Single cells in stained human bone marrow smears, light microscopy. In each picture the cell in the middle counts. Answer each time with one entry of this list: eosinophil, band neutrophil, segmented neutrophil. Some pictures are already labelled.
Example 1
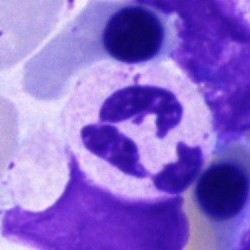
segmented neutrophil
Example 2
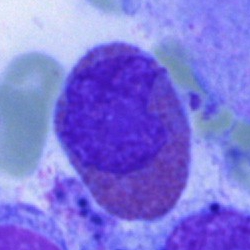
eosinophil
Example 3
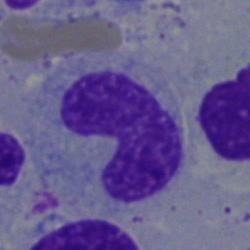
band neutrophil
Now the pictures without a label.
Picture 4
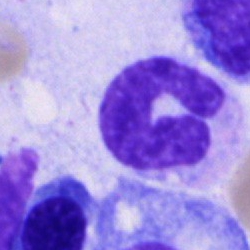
band neutrophil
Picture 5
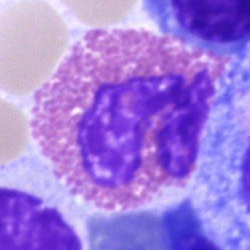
eosinophil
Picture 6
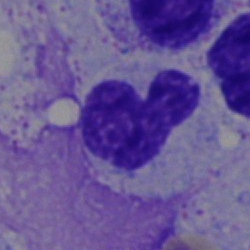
band neutrophil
